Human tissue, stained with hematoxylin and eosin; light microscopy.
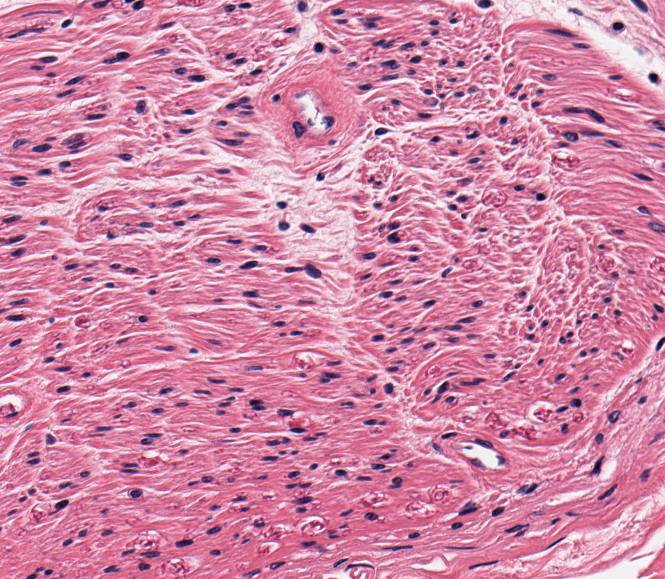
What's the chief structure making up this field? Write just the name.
nerve fascicle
